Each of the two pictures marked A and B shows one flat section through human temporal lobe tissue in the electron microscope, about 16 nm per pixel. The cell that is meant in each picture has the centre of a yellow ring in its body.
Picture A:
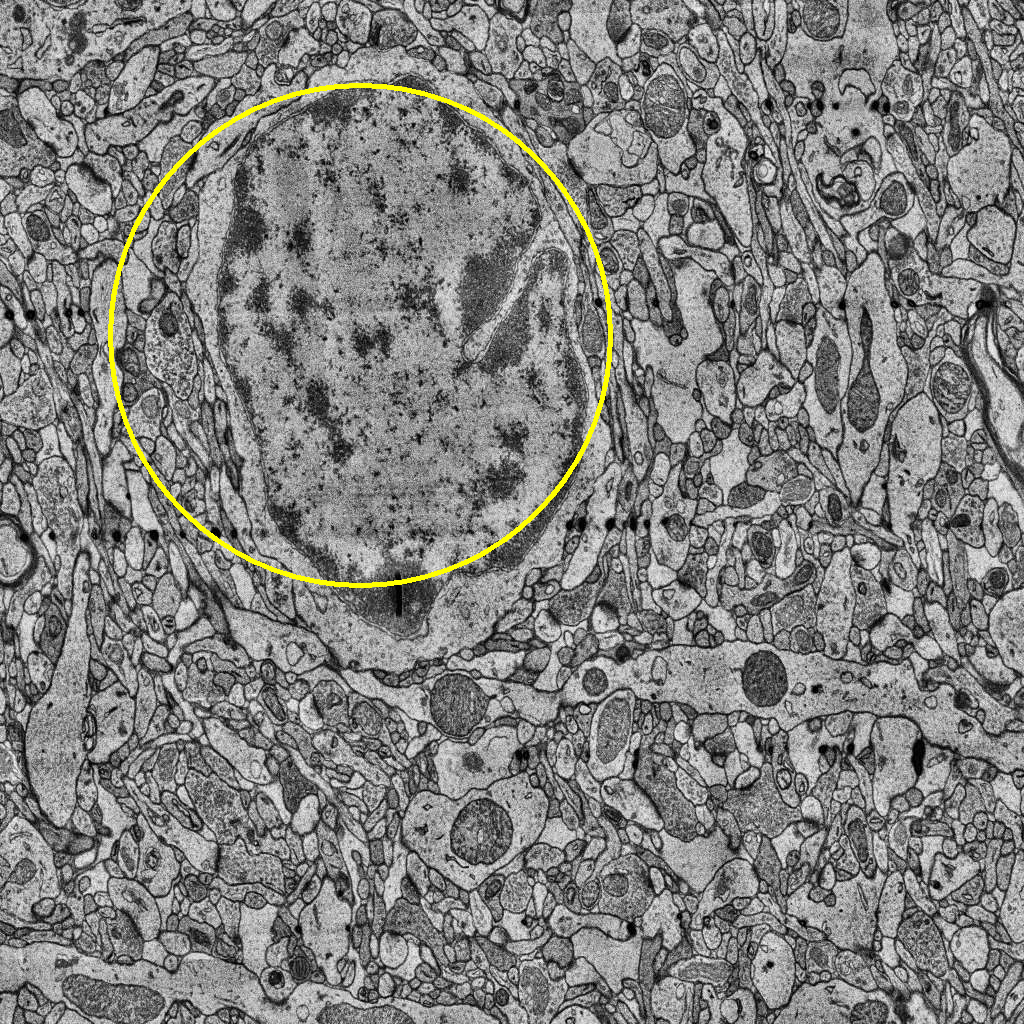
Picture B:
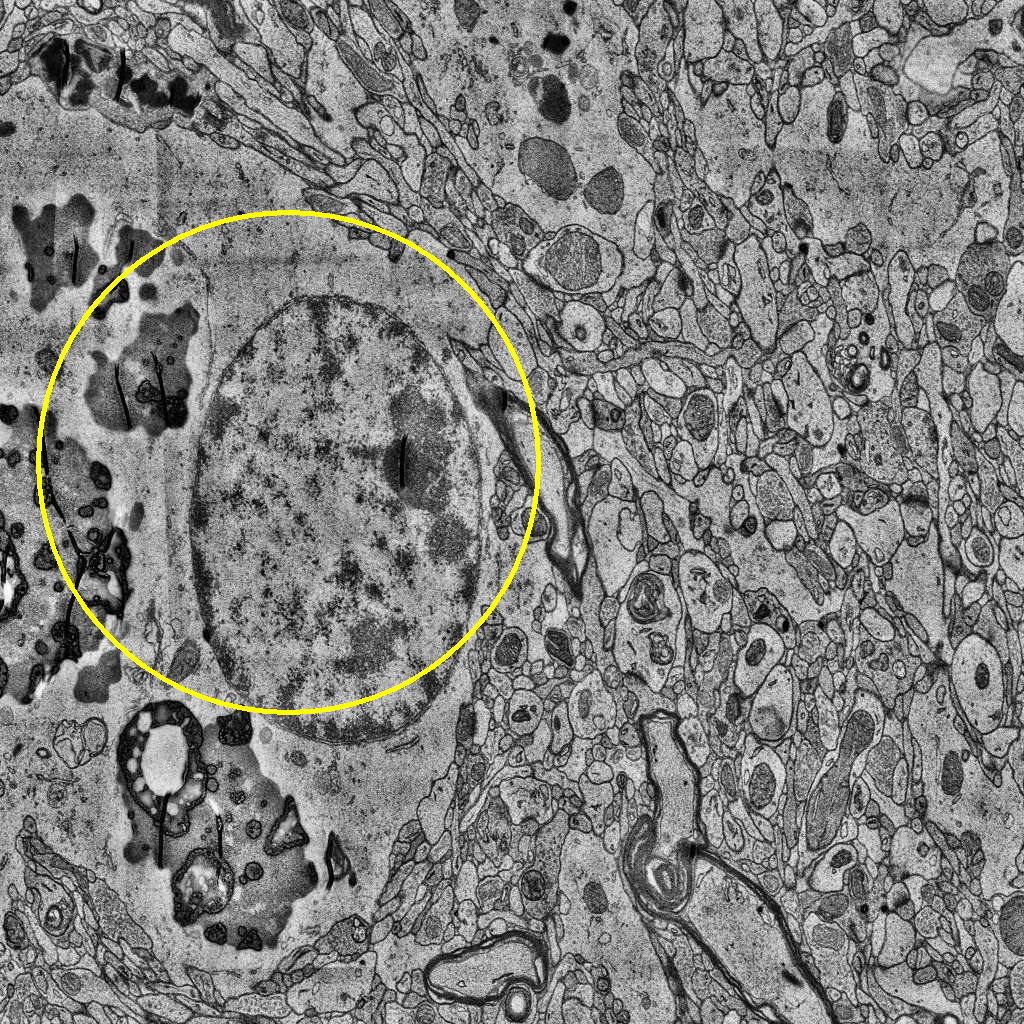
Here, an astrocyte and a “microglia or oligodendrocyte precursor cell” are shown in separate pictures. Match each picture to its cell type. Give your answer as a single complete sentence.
In picture A the cell is a “microglia or oligodendrocyte precursor cell”; in picture B, an astrocyte.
